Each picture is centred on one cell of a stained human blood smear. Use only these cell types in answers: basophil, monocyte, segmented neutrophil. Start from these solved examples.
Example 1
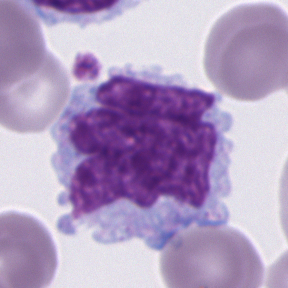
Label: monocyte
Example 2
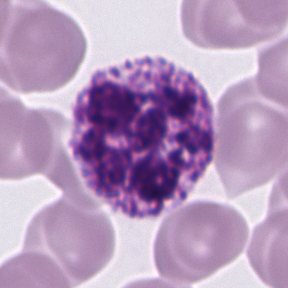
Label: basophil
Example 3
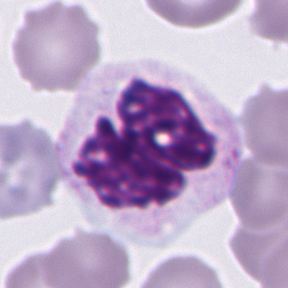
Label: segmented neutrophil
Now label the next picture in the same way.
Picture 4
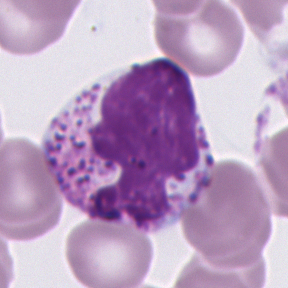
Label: basophil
